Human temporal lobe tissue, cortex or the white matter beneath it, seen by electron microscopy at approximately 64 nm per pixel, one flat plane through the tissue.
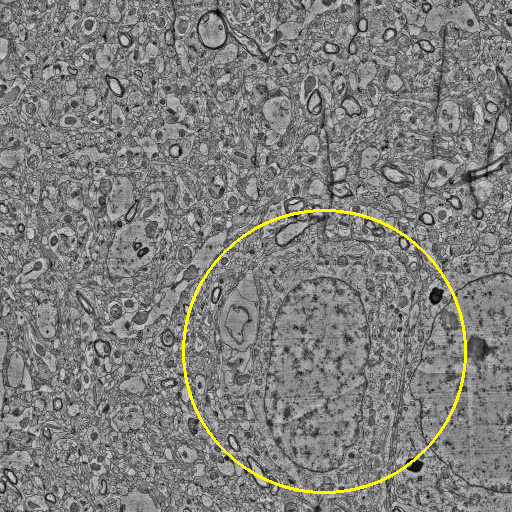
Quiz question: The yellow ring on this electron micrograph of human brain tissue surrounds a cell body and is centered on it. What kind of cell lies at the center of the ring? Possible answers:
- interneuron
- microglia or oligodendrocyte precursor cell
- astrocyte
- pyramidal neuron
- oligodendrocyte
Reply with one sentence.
The ring's center lies on an interneuron.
